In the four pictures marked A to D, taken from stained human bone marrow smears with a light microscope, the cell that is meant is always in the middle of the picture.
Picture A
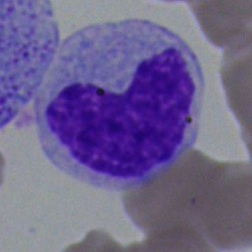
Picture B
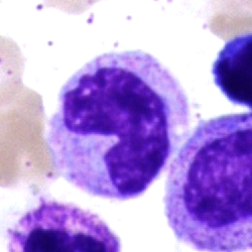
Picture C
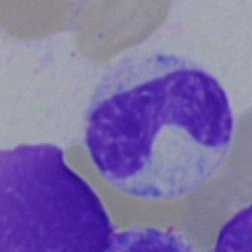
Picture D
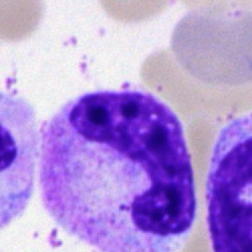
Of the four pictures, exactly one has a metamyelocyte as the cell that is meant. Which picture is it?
A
